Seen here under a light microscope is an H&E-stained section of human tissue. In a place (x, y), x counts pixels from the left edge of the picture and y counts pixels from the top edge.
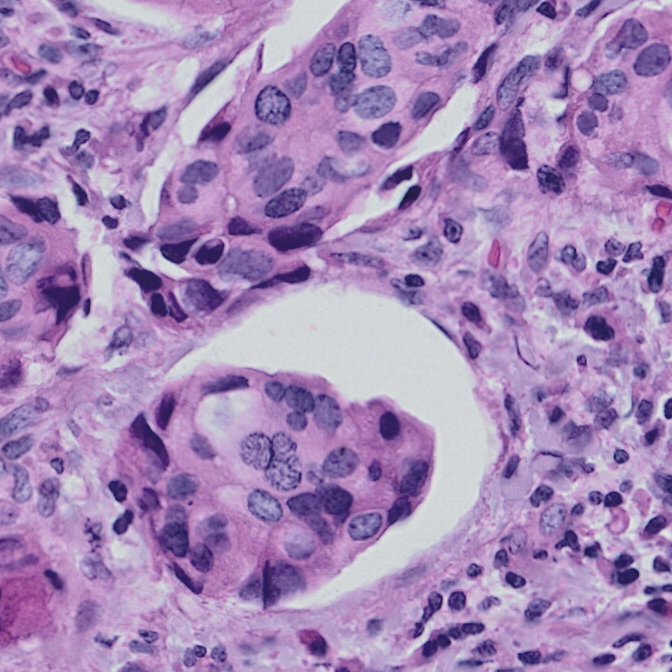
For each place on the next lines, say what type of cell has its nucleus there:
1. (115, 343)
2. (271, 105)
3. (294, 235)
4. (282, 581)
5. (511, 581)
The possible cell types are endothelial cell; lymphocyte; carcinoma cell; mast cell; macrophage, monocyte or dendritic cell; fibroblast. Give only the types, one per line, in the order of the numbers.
fibroblast
carcinoma cell
carcinoma cell
carcinoma cell
lymphocyte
